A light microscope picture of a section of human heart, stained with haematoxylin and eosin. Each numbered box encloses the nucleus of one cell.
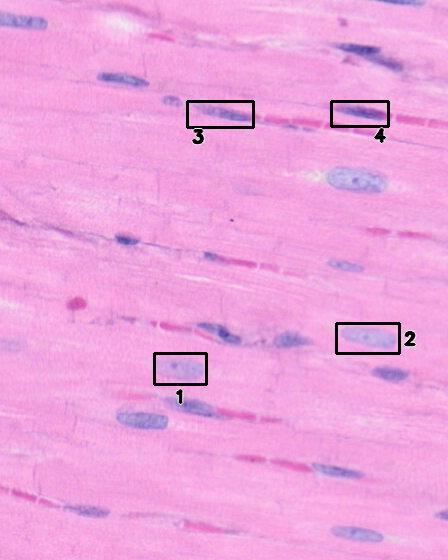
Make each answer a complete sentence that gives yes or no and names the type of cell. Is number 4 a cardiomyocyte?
No, the nucleus numbered 4 belongs to an endothelial cell, not a cardiomyocyte.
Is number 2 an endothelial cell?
No, cell number 2 is identified as a cardiomyocyte, not as an endothelial cell.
